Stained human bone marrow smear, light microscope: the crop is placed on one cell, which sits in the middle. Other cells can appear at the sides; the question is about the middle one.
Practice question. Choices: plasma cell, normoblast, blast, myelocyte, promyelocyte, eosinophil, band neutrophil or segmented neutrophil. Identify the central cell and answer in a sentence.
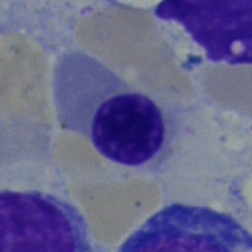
In the center of this field lies a normoblast.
